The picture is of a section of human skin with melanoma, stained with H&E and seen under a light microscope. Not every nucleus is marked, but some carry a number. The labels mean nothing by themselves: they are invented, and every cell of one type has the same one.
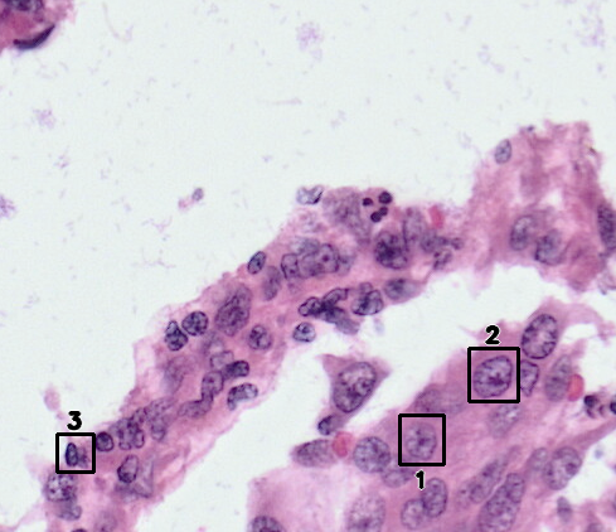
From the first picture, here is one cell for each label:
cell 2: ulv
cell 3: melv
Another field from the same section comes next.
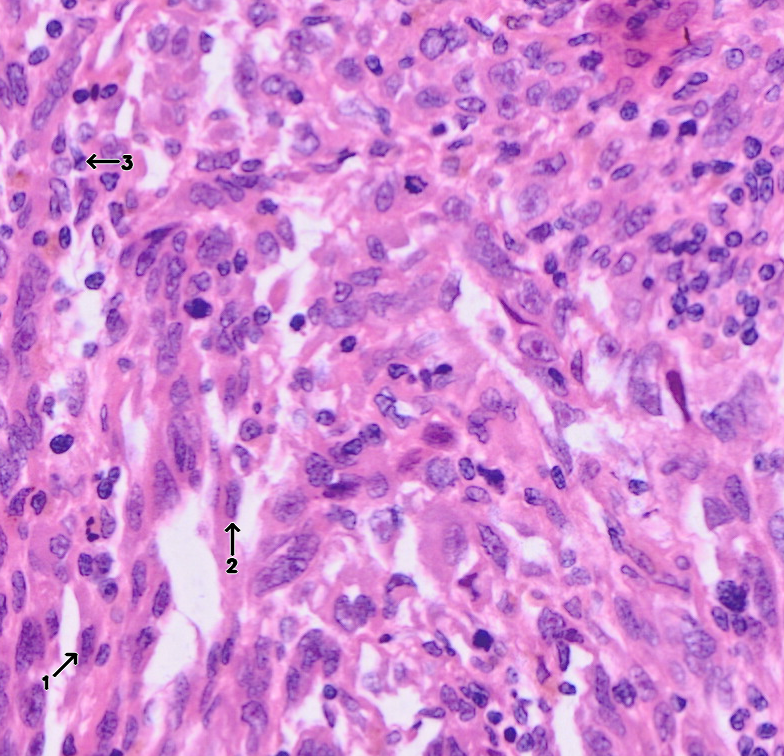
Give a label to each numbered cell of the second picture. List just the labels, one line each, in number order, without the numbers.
ulv
ulv
melv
